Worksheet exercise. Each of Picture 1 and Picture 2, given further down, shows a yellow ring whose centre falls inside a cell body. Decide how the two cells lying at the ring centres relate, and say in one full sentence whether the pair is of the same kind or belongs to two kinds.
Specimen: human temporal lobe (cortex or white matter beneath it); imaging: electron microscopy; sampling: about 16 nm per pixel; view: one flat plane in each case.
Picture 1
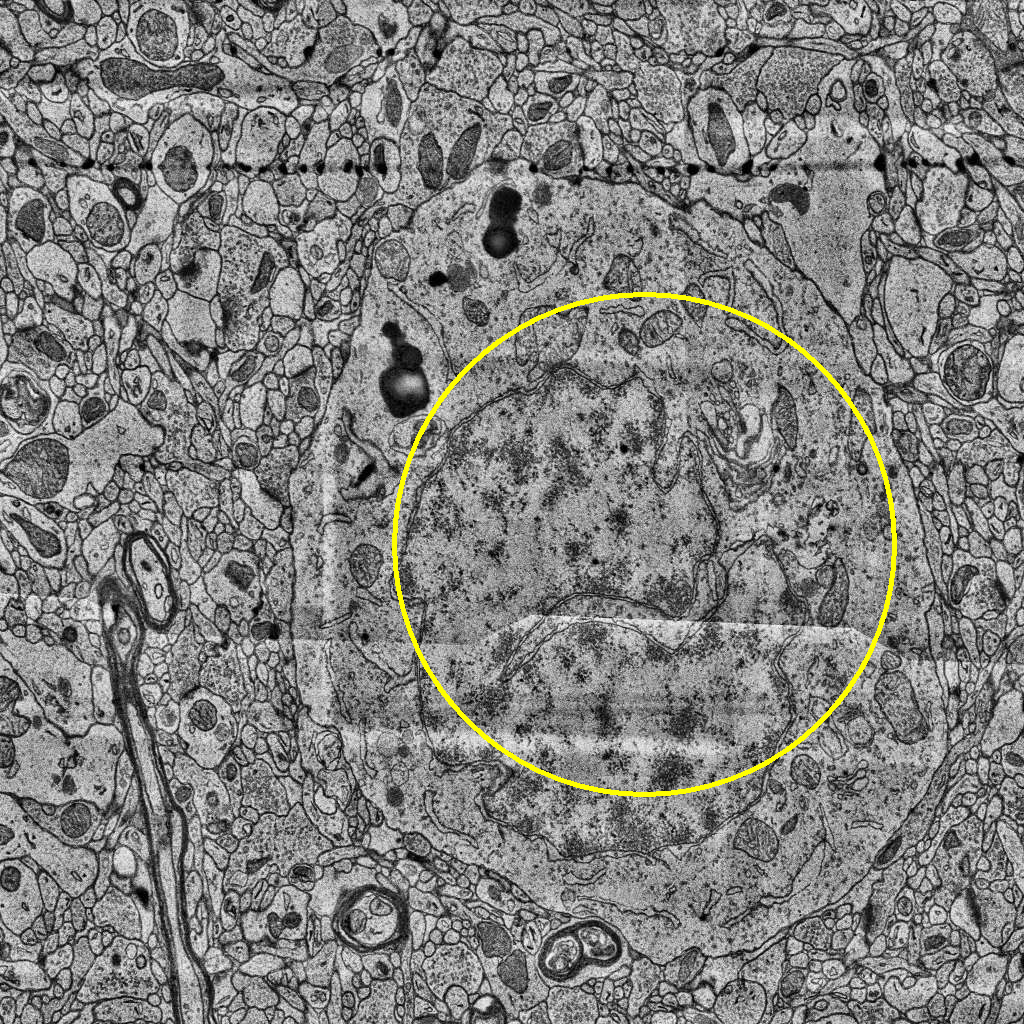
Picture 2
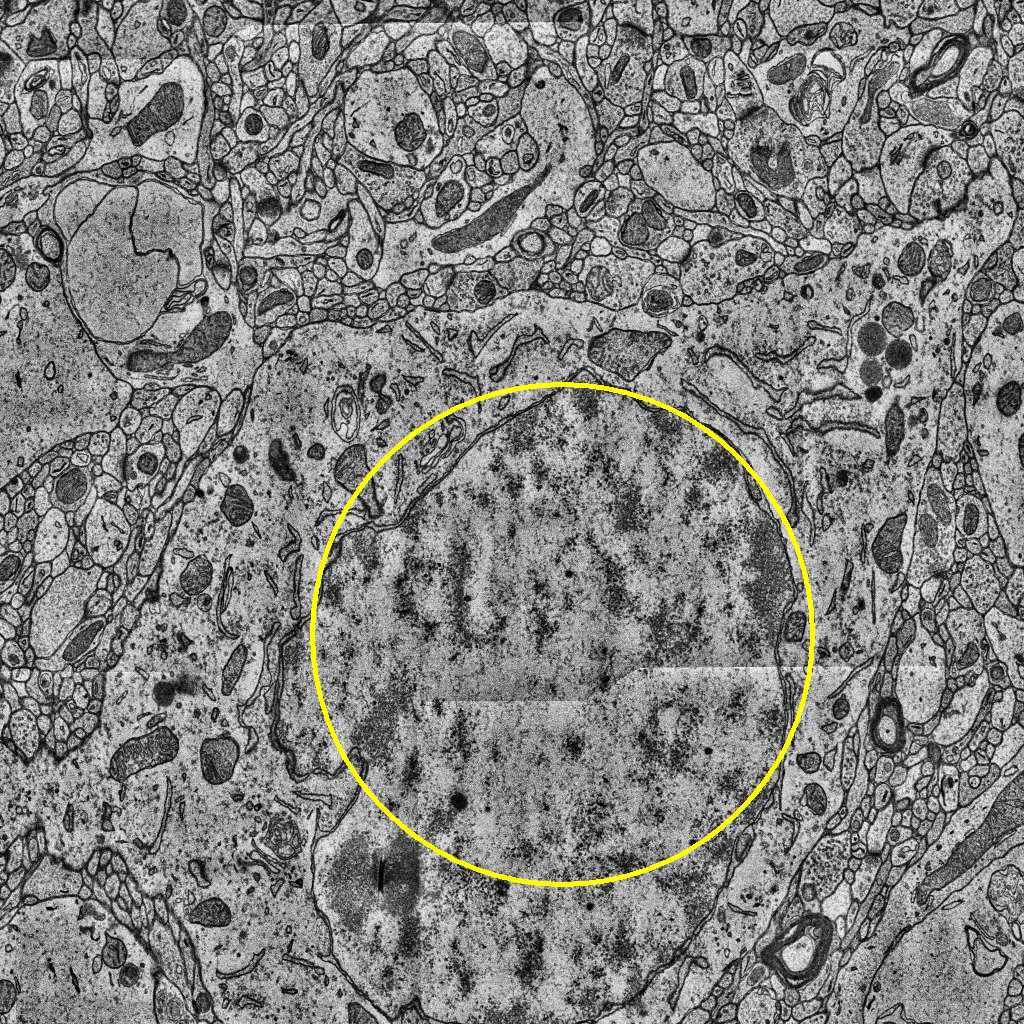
The cells at the ring centres in Picture 1 and Picture 2 are of the same kind.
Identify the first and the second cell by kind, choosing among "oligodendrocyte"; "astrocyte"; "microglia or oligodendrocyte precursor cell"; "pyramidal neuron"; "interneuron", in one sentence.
The cell in the first picture is an interneuron, and so is the one in the second.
